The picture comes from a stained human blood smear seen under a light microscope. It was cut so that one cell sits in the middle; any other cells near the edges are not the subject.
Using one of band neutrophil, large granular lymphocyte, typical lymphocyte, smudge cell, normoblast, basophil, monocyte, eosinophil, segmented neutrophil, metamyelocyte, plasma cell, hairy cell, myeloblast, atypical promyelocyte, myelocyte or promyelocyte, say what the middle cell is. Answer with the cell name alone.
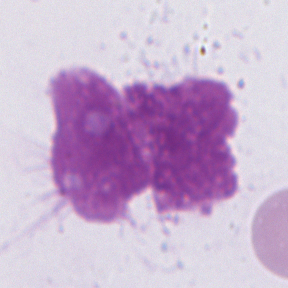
smudge cell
